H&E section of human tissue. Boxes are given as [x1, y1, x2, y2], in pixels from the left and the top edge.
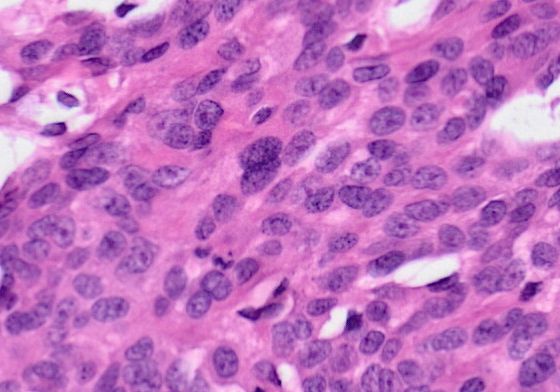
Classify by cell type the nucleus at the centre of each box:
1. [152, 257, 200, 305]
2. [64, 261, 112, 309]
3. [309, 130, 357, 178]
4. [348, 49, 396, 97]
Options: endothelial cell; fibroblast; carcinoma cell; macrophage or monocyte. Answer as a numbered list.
1. carcinoma cell
2. carcinoma cell
3. carcinoma cell
4. macrophage or monocyte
